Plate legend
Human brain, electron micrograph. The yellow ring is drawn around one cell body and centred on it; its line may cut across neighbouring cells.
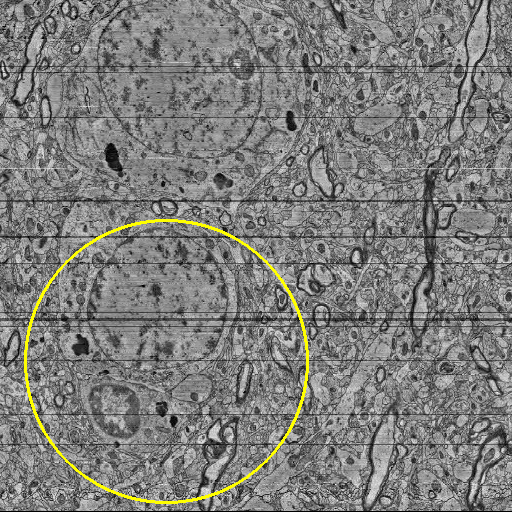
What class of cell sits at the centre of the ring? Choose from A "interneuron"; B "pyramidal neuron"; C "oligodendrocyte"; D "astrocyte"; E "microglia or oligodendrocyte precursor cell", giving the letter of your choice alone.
A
